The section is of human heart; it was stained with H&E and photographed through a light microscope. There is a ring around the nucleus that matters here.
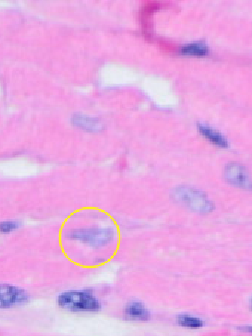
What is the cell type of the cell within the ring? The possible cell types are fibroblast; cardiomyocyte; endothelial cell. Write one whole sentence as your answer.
The cell meant here is a cardiomyocyte.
